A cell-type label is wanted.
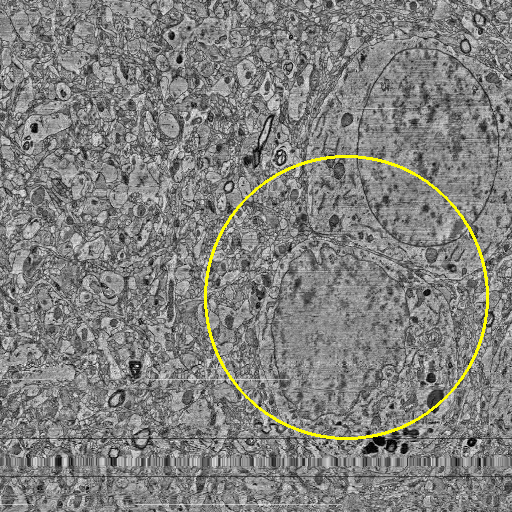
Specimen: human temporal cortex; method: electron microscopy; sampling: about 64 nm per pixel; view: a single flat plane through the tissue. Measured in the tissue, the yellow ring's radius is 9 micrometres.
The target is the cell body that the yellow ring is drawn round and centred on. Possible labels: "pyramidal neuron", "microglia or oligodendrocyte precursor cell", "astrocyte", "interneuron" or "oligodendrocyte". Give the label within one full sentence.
Of the labels offered, the cell in the middle of the yellow ring is an interneuron.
